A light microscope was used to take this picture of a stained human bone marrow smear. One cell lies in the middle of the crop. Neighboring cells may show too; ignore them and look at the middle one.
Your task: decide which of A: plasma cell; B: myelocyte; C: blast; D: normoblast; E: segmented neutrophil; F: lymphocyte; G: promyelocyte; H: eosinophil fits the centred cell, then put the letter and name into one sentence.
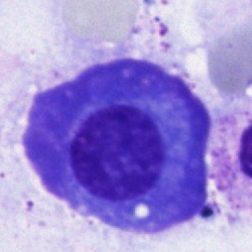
Option A is correct here, and the cell in the middle is a plasma cell.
